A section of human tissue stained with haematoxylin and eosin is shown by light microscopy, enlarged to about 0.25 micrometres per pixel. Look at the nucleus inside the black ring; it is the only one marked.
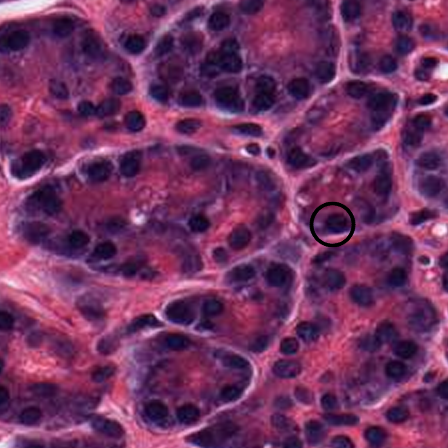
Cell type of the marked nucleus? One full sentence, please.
To a pancreatic acinar cell belongs the marked nucleus.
